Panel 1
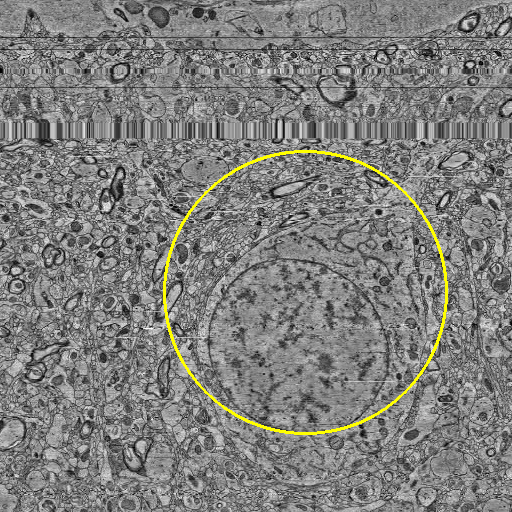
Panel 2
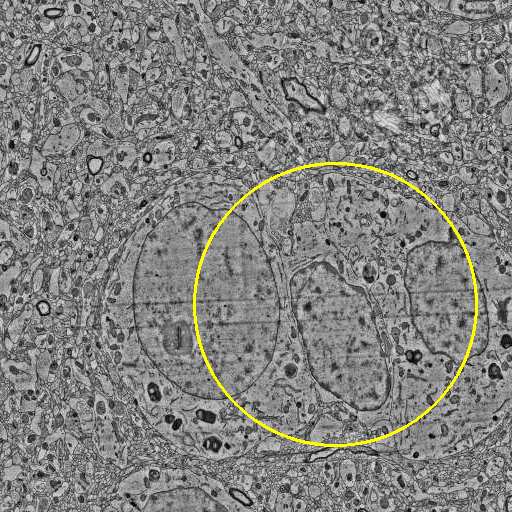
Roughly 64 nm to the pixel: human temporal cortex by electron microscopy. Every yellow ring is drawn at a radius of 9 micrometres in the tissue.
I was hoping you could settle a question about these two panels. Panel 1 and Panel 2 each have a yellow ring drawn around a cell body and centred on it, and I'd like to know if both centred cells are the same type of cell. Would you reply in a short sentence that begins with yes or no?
No, they are two types of cell.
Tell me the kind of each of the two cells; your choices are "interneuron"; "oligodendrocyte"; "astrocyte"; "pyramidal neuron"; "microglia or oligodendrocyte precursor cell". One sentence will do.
The ringed cell is a pyramidal neuron in the first picture and a microglial cell or oligodendrocyte precursor cell in the second picture.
